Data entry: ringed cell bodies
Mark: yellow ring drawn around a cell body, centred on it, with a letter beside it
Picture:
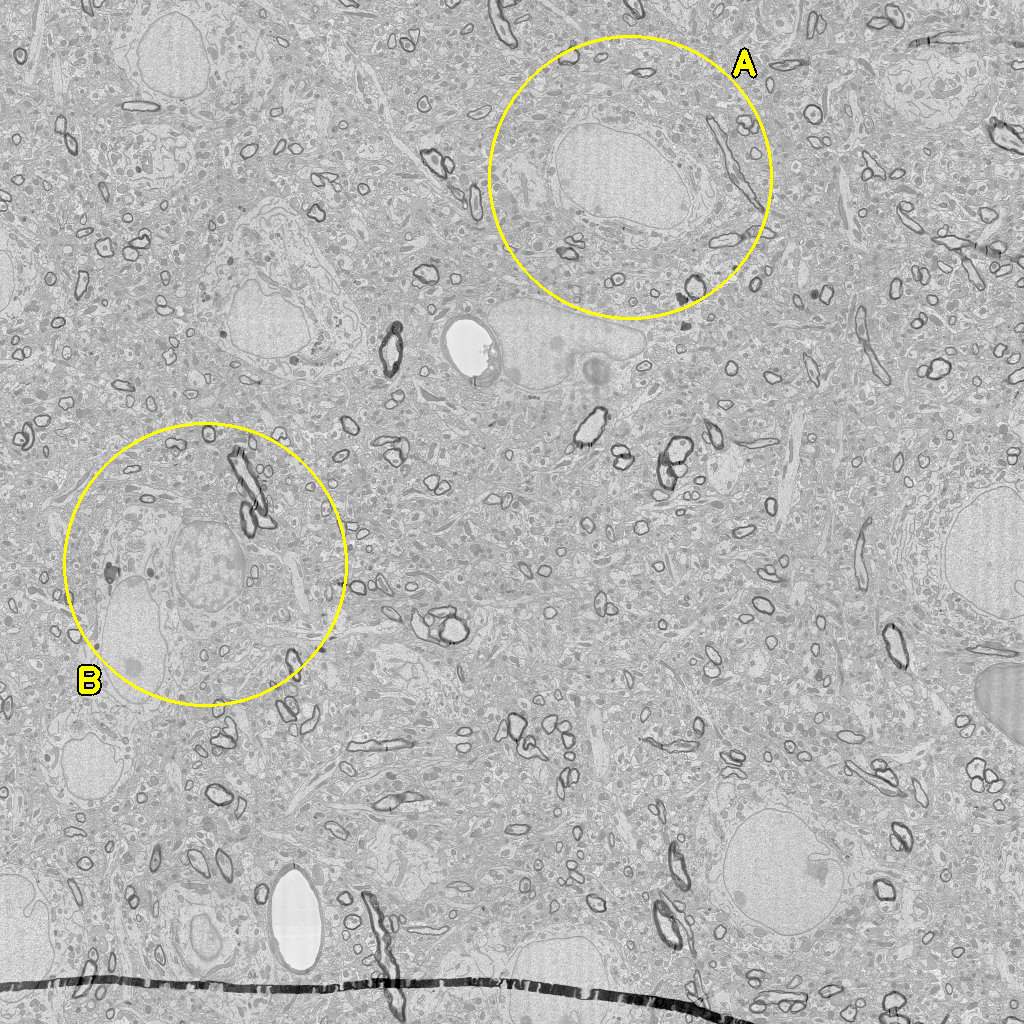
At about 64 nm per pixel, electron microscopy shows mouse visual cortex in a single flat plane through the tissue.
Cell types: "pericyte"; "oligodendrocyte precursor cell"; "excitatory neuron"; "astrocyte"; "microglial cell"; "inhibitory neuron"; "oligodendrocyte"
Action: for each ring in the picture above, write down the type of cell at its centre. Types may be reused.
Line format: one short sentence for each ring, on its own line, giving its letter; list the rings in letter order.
For ring A, the cell at the centre is an excitatory neuron.
For ring B, the cell at the centre is an oligodendrocyte.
